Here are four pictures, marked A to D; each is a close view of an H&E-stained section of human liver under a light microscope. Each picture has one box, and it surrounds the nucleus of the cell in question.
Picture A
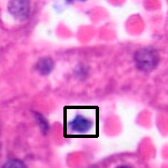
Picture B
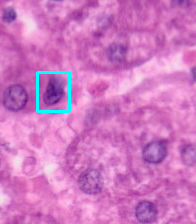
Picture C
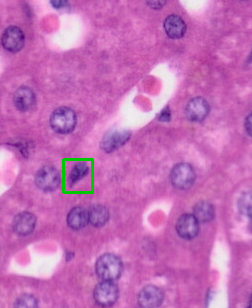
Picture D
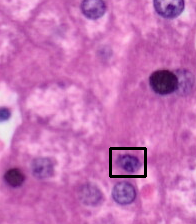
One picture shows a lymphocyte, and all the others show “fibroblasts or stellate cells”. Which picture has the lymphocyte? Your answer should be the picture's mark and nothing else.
A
